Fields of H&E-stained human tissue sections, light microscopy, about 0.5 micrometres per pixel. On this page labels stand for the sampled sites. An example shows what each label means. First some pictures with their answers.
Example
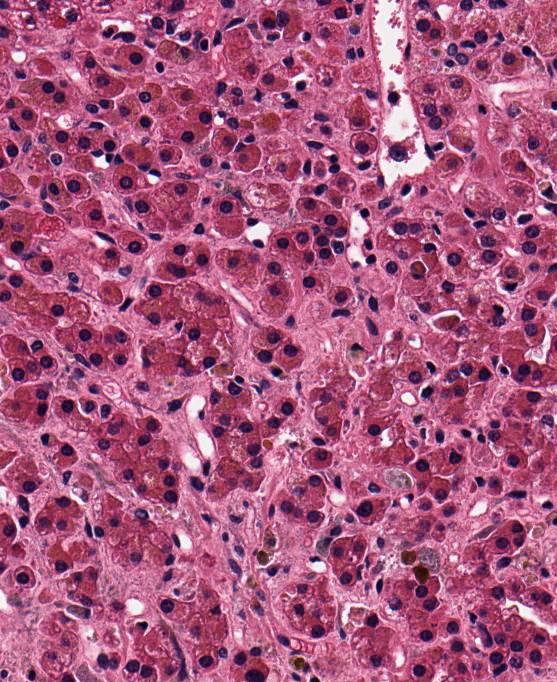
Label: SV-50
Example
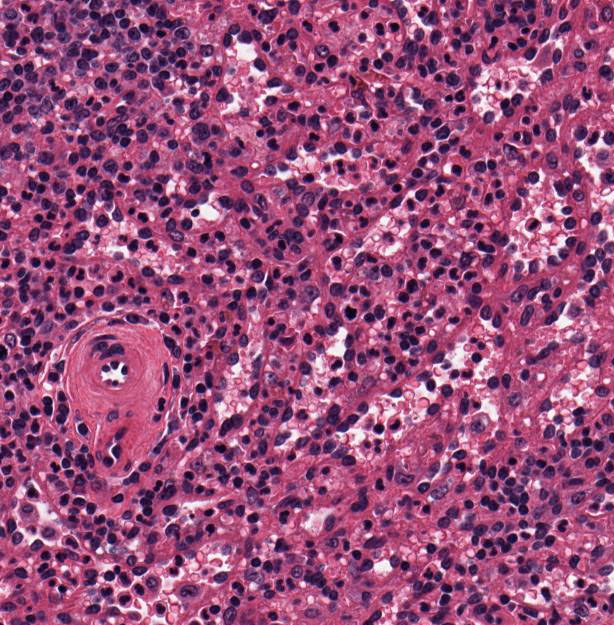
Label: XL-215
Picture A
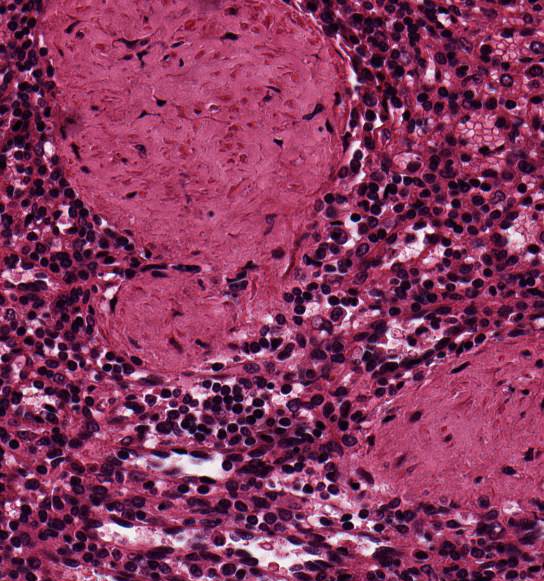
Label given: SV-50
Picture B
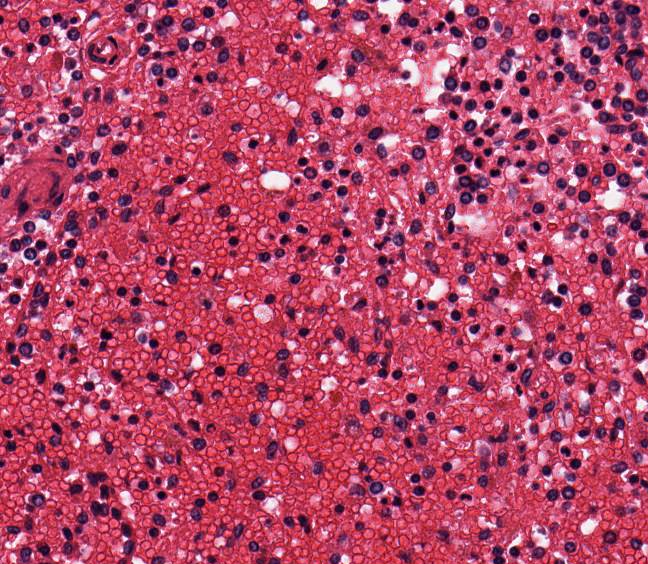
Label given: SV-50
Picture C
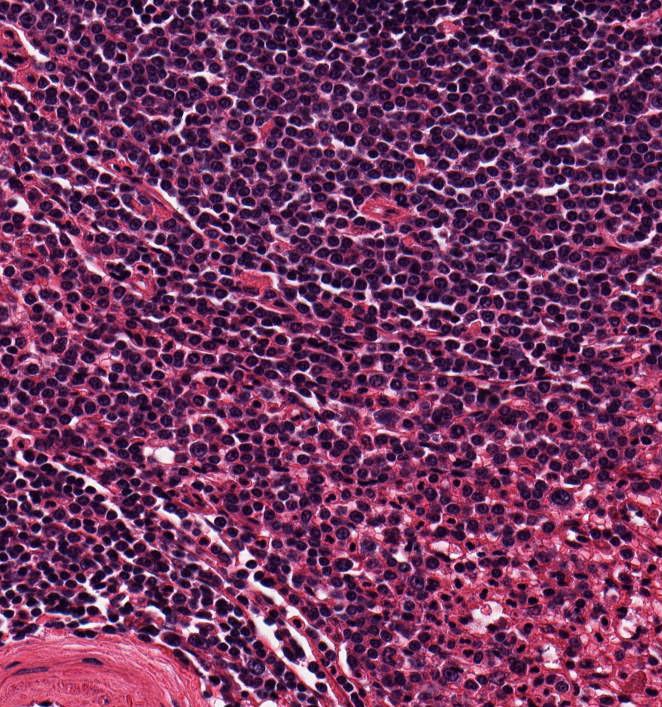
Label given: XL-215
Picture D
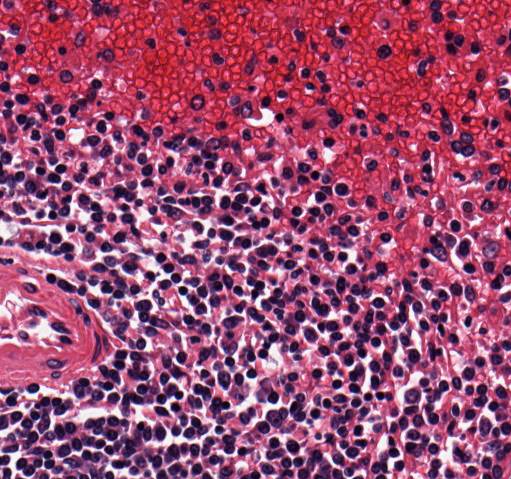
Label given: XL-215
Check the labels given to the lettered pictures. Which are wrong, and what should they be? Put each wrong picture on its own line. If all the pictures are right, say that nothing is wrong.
A should be XL-215, not SV-50
B should be XL-215, not SV-50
